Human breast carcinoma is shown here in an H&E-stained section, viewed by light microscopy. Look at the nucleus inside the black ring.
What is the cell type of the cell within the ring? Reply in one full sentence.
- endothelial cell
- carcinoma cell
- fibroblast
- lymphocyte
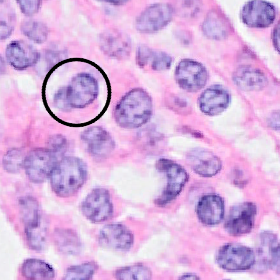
Microscopically, the cell within the ring is categorized as a carcinoma cell.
